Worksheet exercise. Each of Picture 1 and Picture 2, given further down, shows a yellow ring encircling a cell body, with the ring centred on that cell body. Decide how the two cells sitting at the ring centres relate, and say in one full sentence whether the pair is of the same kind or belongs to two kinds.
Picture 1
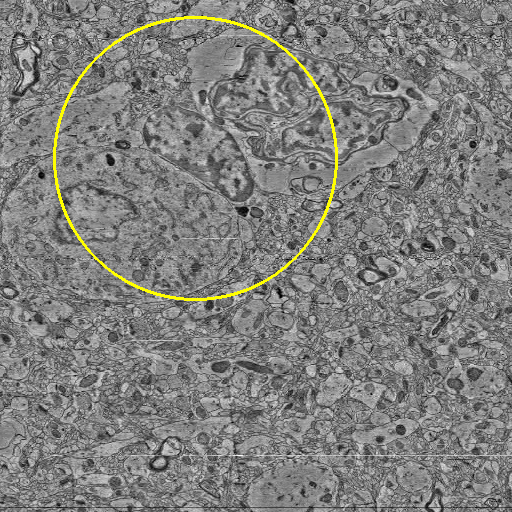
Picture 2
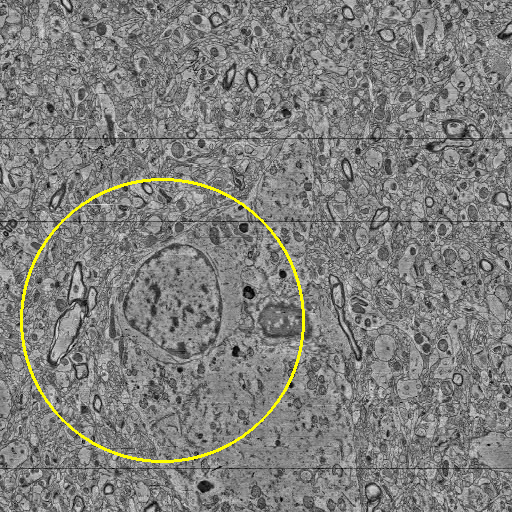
The cells at the ring centres in Picture 1 and Picture 2 are of the same kind.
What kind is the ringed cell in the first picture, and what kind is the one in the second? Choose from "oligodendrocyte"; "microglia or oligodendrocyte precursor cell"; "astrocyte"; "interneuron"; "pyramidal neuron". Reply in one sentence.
Each of the two rings is centred on a microglial cell or oligodendrocyte precursor cell.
